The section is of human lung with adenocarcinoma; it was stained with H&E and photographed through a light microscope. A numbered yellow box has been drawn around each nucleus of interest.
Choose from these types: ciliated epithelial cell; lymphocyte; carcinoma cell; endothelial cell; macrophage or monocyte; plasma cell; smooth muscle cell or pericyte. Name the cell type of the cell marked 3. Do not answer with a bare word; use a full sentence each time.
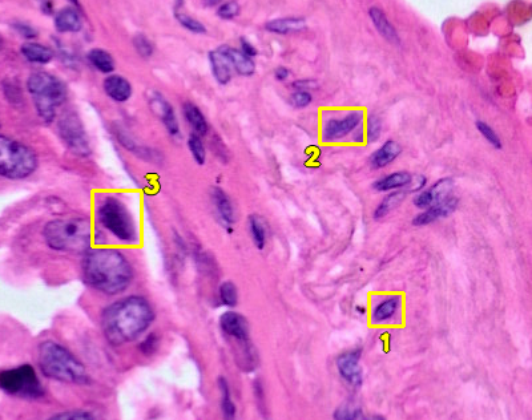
The cell that carries the label 3 is a carcinoma cell.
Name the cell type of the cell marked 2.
The cell whose nucleus carries the number 2 is a smooth muscle cell or pericyte.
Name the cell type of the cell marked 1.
The cell carrying label 1 is identified as a smooth muscle cell or pericyte.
